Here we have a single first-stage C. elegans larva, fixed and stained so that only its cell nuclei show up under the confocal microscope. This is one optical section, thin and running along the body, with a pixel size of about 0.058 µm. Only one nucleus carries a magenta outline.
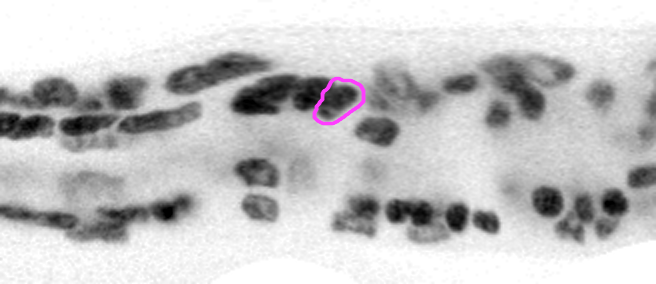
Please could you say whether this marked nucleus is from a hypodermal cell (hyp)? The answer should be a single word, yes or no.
no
